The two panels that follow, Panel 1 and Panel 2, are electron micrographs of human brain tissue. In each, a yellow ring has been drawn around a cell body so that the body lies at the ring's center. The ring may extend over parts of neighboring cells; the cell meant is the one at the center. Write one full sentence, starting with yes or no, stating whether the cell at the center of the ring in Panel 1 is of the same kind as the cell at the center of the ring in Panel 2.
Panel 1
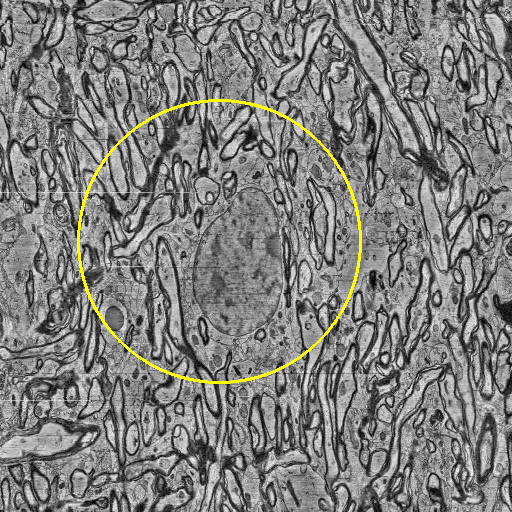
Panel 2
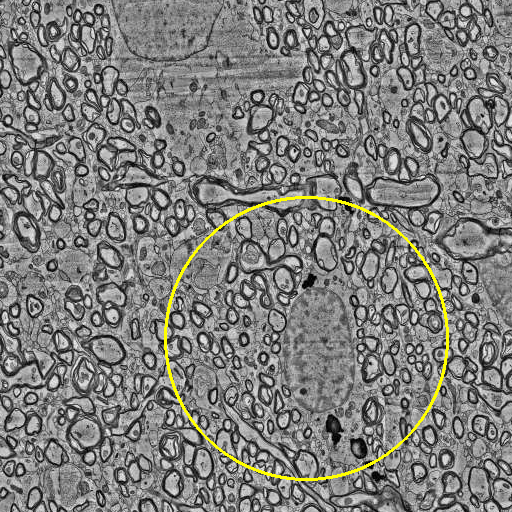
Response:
No, the cells in the two panels are of two kinds.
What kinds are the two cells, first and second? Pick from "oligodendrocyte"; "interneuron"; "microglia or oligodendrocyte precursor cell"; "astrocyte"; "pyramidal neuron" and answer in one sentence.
The second picture holds an oligodendrocyte in its ring, and the first holds a microglial cell or oligodendrocyte precursor cell.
